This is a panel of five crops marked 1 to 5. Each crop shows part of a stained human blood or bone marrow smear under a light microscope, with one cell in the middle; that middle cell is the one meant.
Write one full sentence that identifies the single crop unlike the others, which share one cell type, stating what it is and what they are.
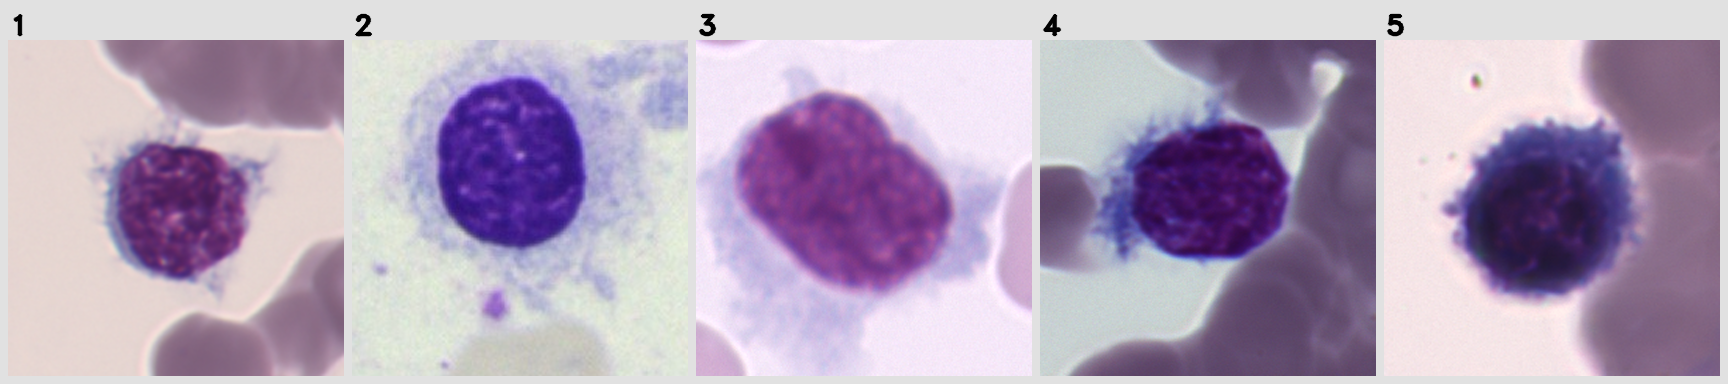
Crop 5 does not fit, being a plasma cell where all the others show hairy cells.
